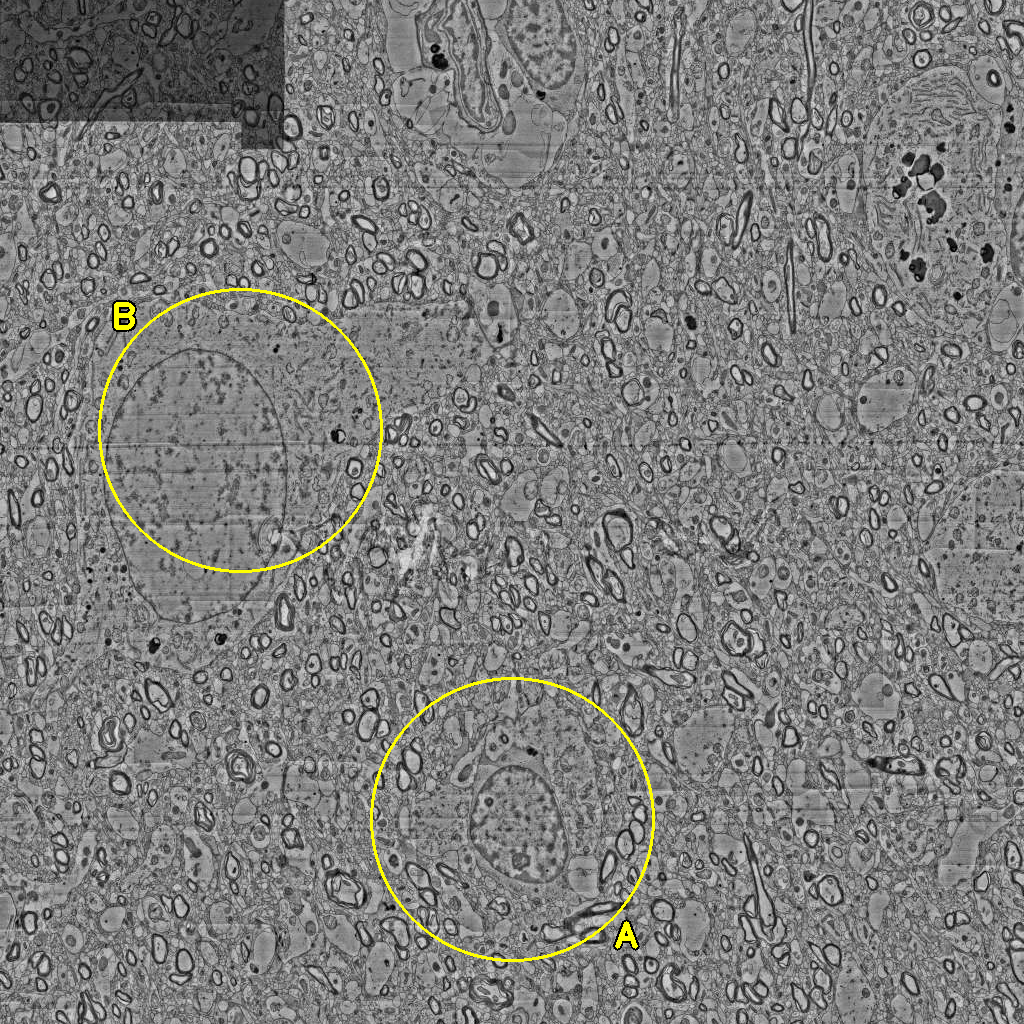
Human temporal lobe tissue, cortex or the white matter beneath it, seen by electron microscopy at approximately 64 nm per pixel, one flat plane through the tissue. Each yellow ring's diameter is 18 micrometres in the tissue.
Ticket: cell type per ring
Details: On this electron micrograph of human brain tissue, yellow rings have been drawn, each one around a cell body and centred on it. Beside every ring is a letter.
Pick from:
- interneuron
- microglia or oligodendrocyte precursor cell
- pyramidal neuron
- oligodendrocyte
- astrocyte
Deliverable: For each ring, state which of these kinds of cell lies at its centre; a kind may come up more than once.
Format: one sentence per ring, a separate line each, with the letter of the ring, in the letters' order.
The cell body ringed as A belongs to an oligodendrocyte.
The cell body ringed as B belongs to a pyramidal neuron.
